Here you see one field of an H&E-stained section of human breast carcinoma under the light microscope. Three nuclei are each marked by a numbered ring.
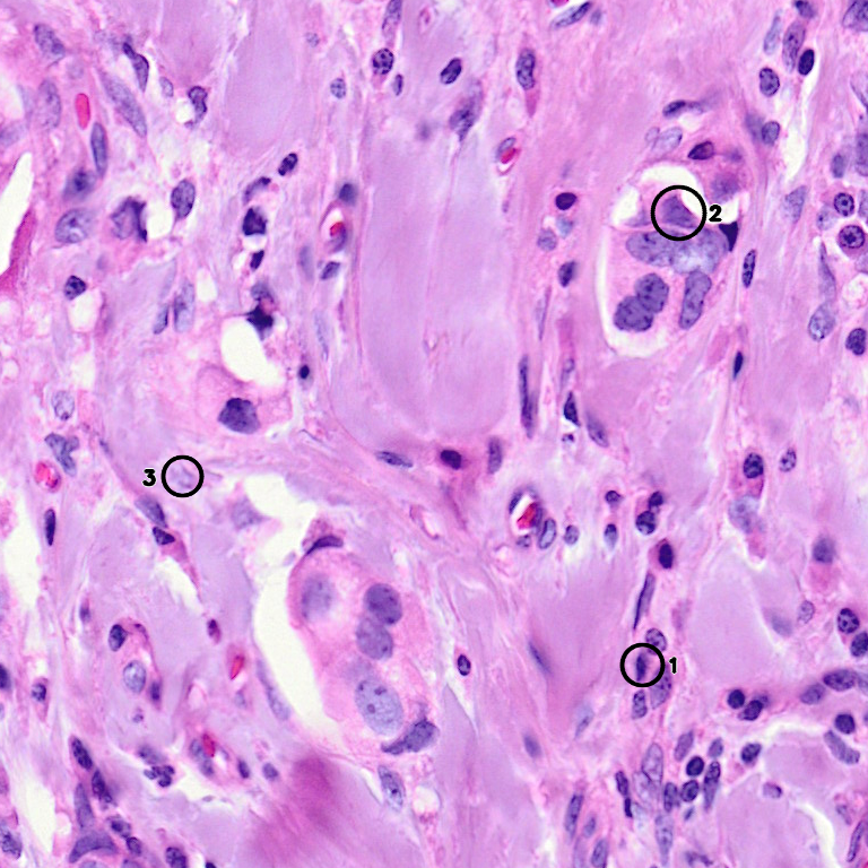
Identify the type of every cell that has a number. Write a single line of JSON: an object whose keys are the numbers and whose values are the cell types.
{"1": "lymphocyte", "2": "carcinoma cell", "3": "fibroblast"}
